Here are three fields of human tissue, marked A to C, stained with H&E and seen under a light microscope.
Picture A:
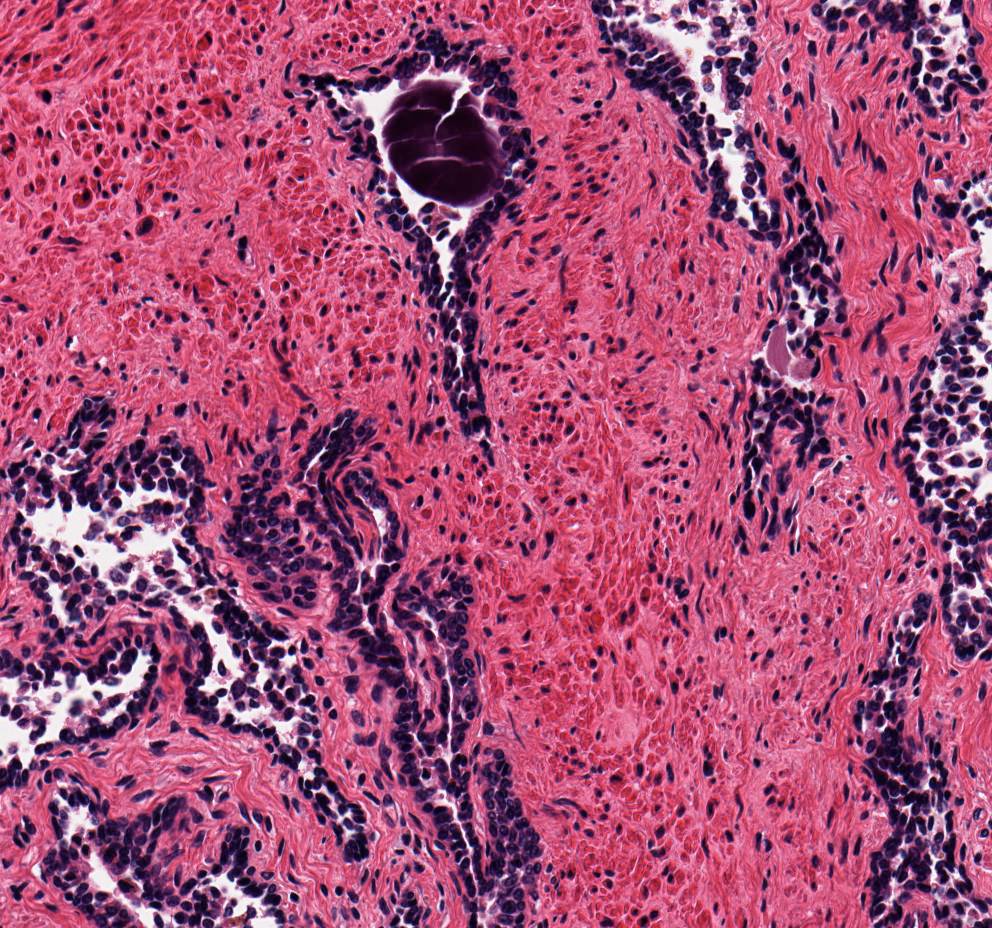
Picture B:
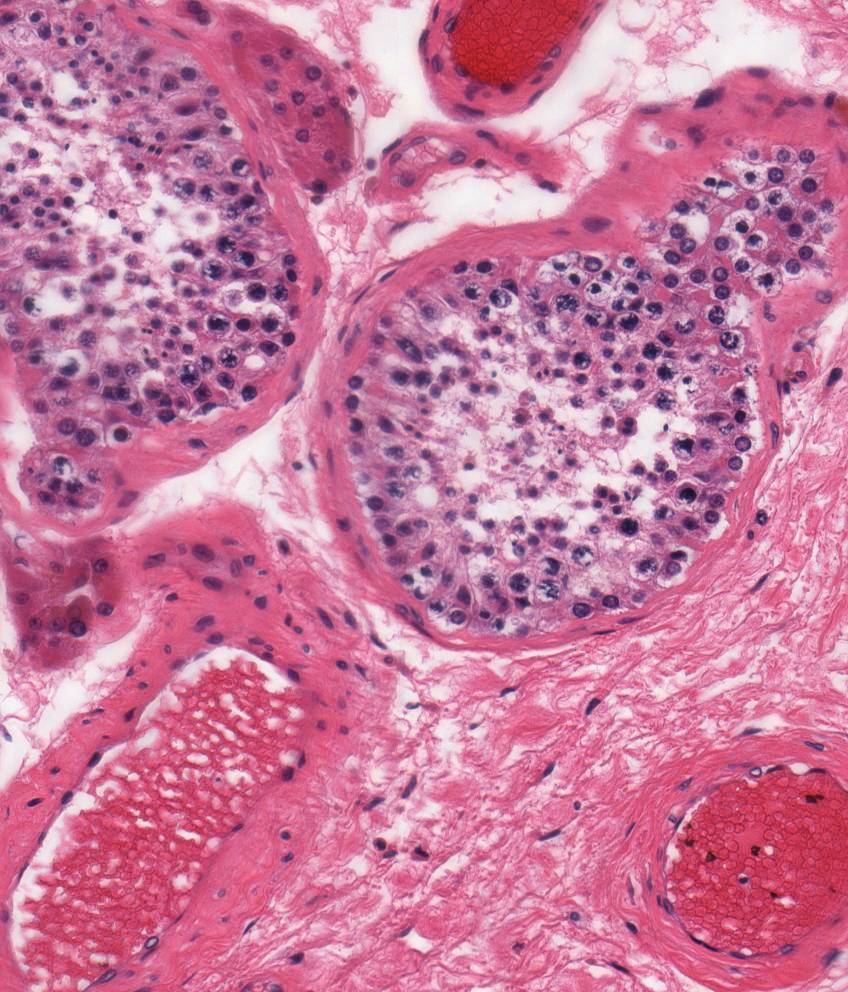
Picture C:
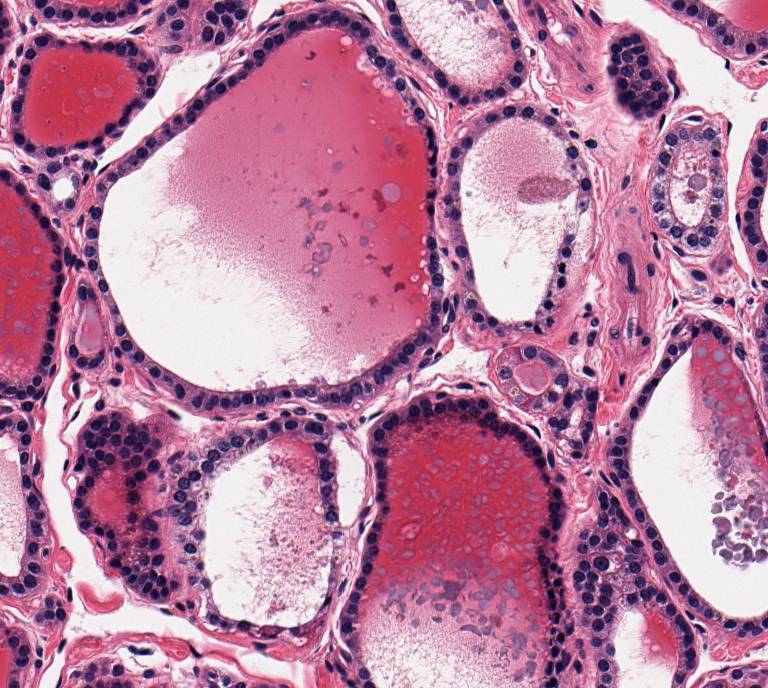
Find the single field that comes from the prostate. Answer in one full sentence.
Picture A comes from the prostate.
